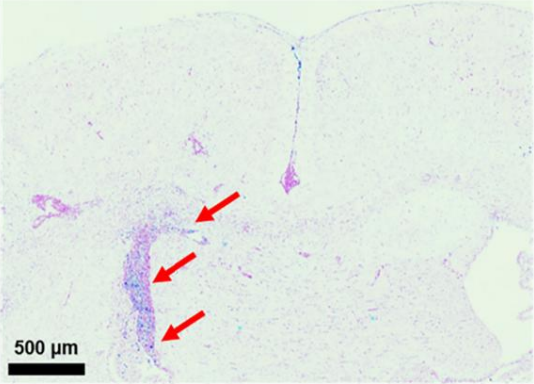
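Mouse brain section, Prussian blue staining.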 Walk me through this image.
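Toward the lower left lies an elongated, curved streak of densely packed, more intensely pink-purple tissue. The rest of the parenchyma is fairly uniform and pale, with a few small pink-stained vessel profiles. A narrow cleft runs down from the top surface near the middle of the section.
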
